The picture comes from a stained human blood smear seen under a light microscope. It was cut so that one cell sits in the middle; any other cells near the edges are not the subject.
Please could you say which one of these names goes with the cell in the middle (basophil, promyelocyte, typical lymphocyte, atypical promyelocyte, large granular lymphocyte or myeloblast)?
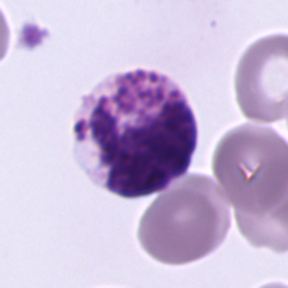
basophil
